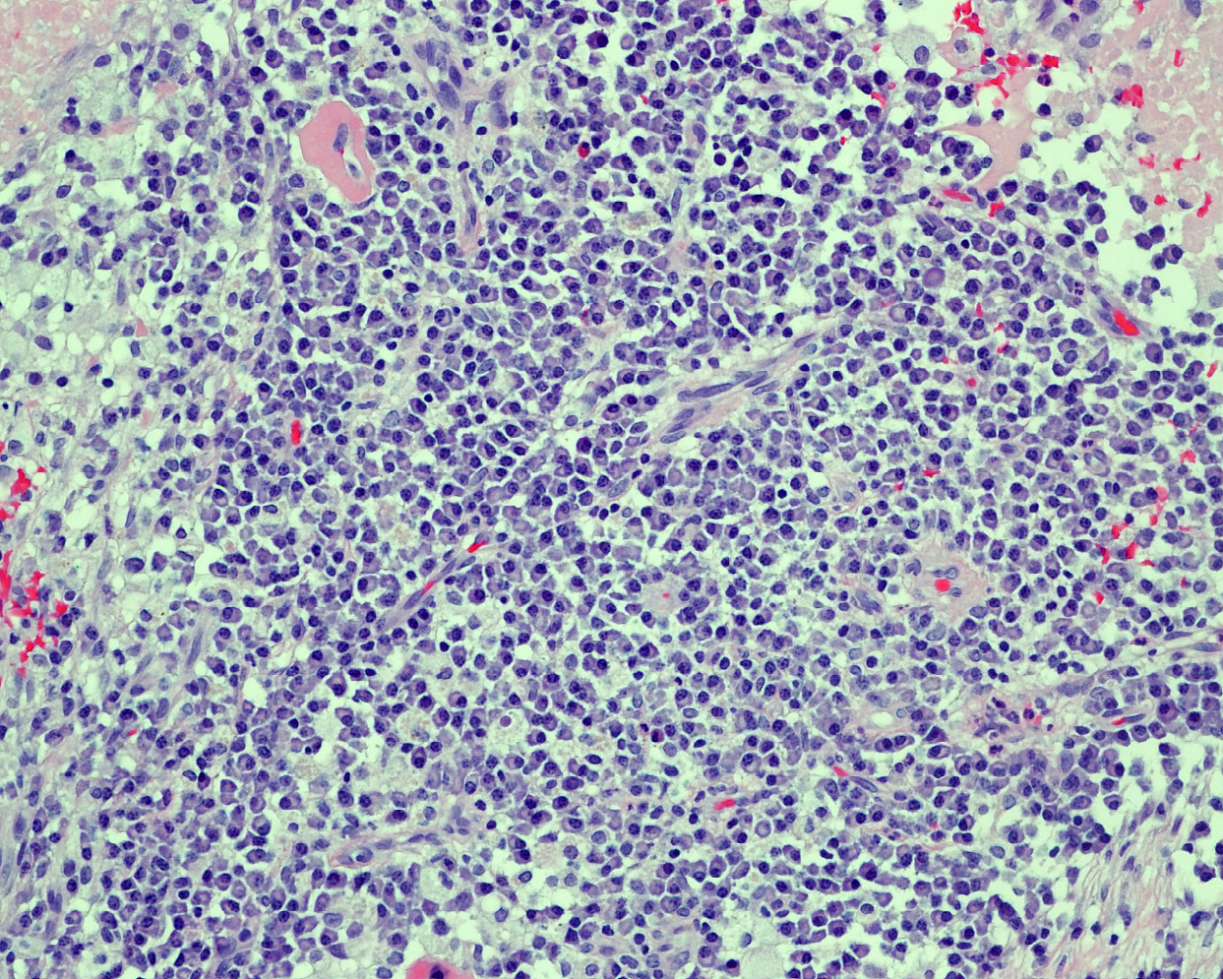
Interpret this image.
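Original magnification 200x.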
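This is a section of tissue densely infiltrated by sheets of plasma cells, which crowd out almost all other elements. Most cells are round to oval, with a round, dark purple nucleus set off to one side and a modest rim of lilac to pink cytoplasm, often with a paler zone beside the nucleus. Thin strands of spindle-shaped stromal cells and small vessels run through the infiltrate, one vessel with a thick pink hyaline wall near the top. Toward the edges the tissue is looser and paler, with scattered red blood cells and pink fluid.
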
